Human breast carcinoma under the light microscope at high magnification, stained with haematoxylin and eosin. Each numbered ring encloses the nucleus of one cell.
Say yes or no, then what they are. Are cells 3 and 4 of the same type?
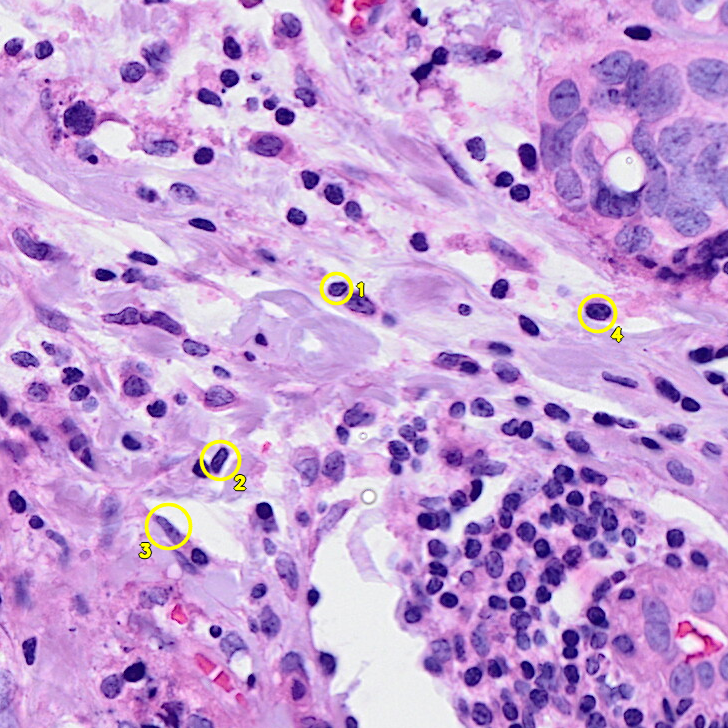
No, cell 4 is a lymphocyte, and cell 3 is a fibroblast.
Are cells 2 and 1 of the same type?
Yes: cells 2 and 1 are both lymphocytes.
